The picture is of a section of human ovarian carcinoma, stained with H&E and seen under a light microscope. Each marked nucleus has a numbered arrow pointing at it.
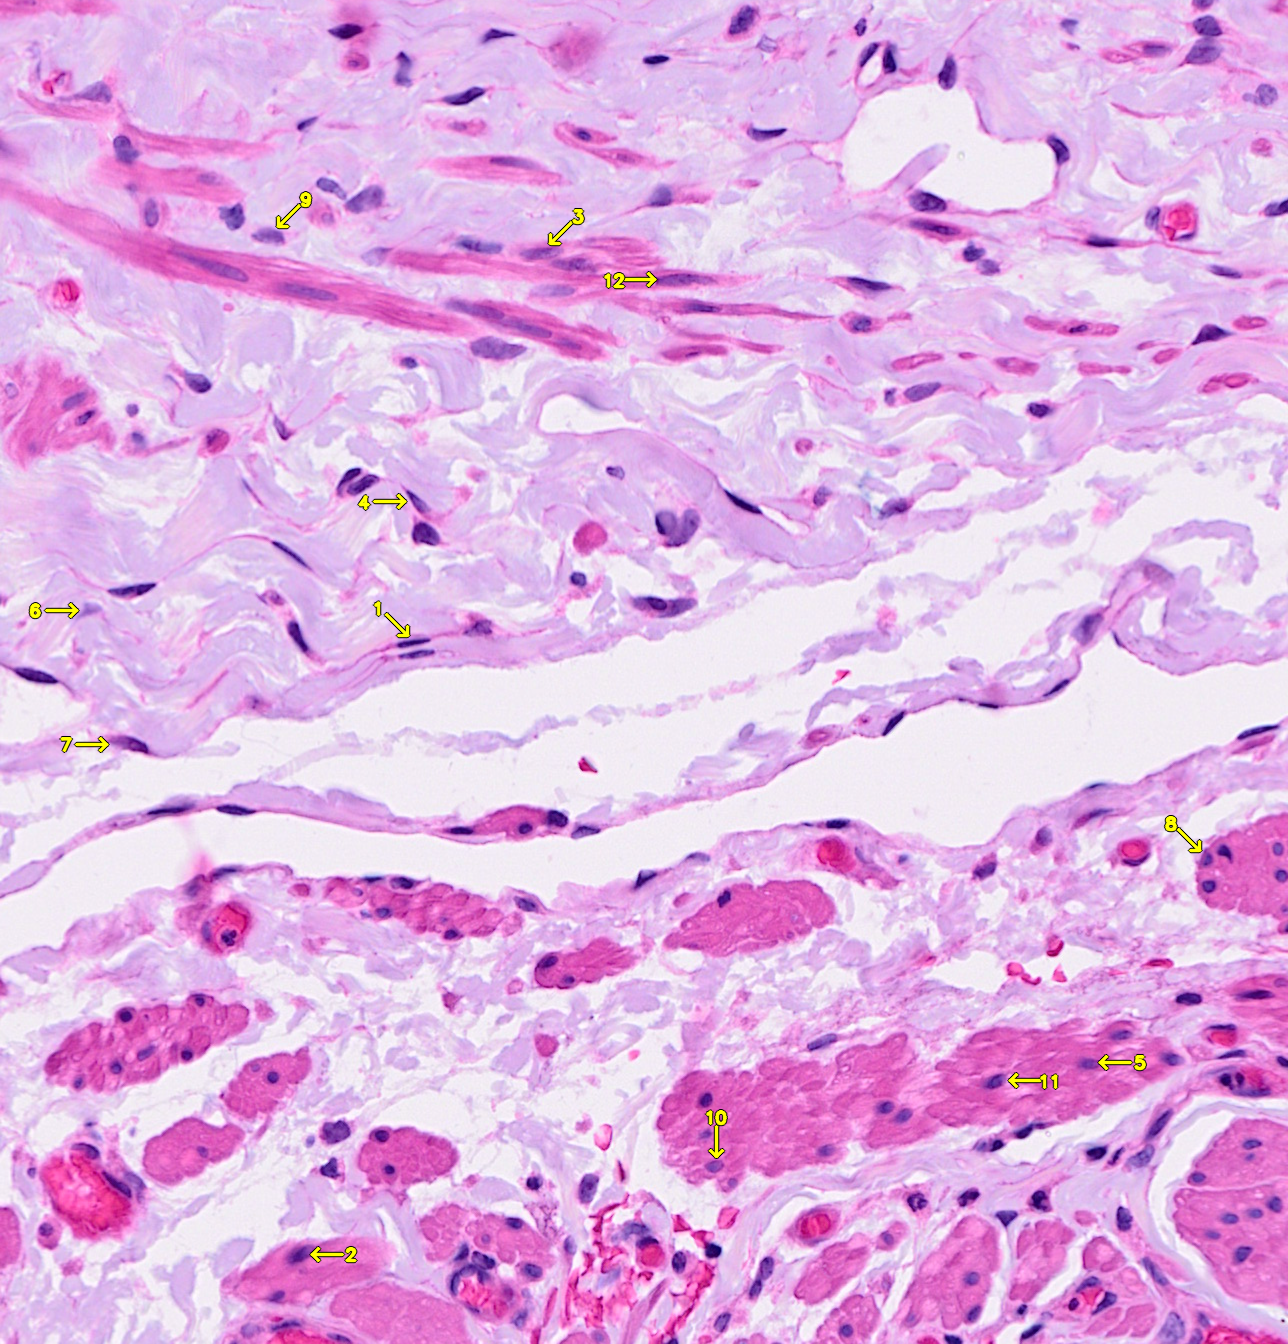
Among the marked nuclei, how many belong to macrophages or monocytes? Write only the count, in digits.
0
